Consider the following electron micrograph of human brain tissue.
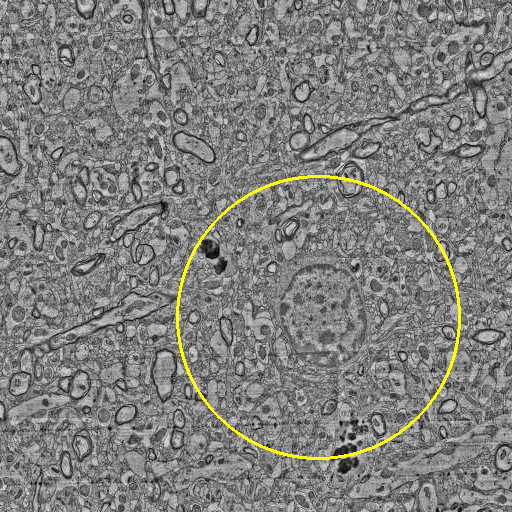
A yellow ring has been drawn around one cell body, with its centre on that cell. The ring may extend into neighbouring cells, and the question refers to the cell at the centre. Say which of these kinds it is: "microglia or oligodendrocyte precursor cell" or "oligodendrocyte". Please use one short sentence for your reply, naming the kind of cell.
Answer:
The centre of the ring falls on an oligodendrocyte.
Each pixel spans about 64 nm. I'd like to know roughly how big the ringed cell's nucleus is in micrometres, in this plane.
The nucleus of the ringed cell is approximately 7 by 5 micrometres in this plane.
